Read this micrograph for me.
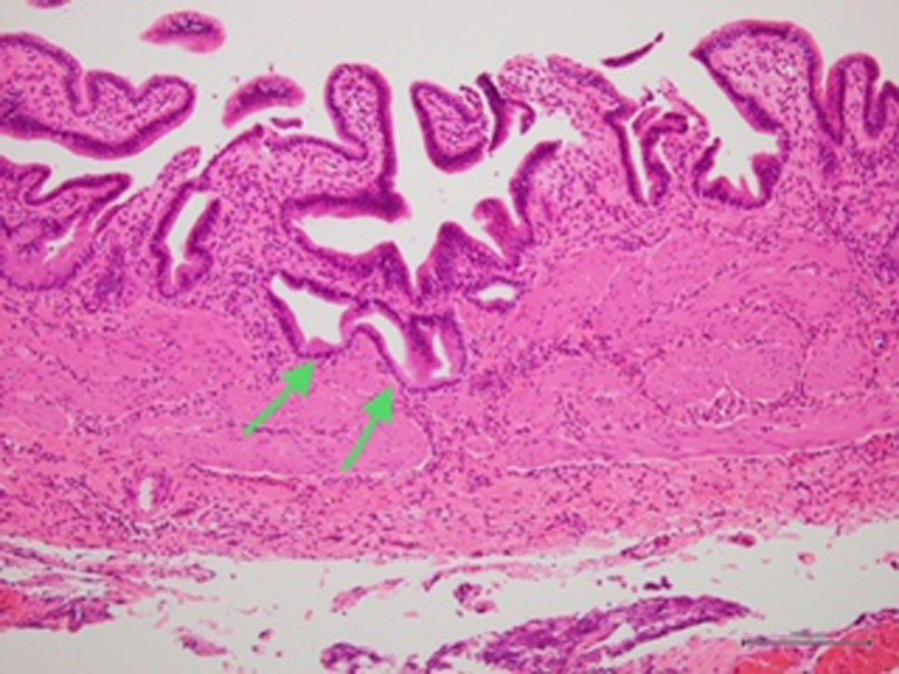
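Gallbladder wall in section, with a folded mucosa on top. The irregular, branching folds are covered by a single layer of tall columnar epithelium with dark, basally placed nuclei. A cellular stroma with many small dark nuclei lies beneath the folds. Below this is a broad layer of pink smooth muscle bundles. Near the centre, epithelium-lined spaces, the Rokitansky–Aschoff sinuses, dip from the mucosa deep into the muscle layer. They are lined by the same columnar epithelium. At the bottom edge there are separated strands of tissue and red-stained blood.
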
